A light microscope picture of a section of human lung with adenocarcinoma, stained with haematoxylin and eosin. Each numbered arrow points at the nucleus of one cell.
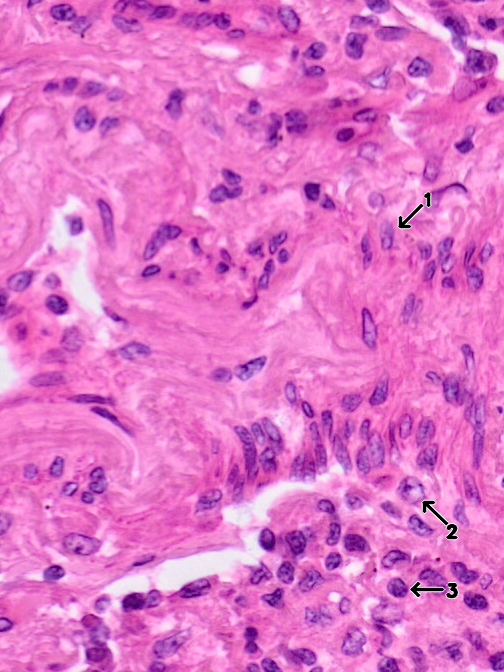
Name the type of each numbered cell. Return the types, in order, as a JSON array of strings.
["smooth muscle cell or pericyte", "fibroblast", "lymphocyte"]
